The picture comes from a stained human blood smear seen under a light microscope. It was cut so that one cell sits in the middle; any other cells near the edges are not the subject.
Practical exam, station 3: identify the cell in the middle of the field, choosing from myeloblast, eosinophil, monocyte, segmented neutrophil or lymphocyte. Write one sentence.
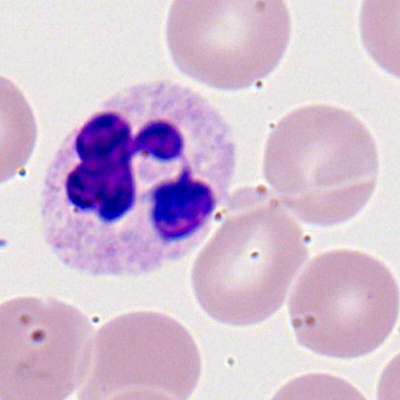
Centred in the crop is a segmented neutrophil.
